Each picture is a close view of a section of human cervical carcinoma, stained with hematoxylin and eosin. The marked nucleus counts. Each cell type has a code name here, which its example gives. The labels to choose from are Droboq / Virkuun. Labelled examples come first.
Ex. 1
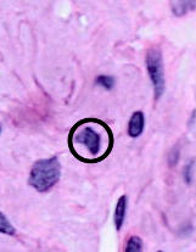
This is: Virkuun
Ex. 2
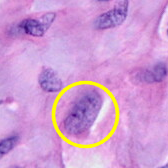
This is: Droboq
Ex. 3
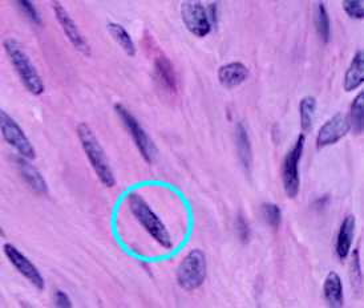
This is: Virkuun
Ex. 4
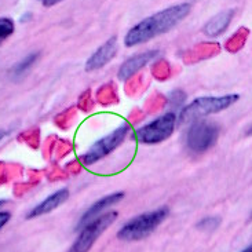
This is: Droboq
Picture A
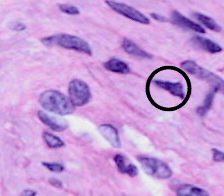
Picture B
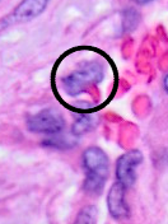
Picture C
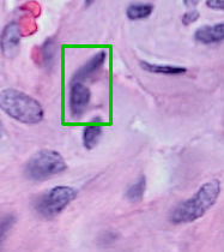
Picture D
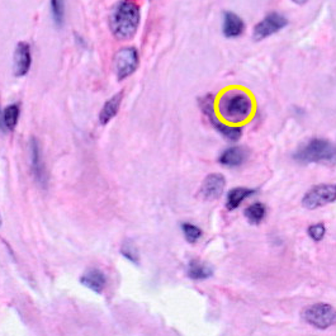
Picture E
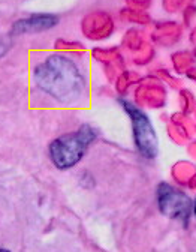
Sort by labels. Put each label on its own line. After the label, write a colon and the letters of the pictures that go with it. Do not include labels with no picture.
Droboq: B, D, E
Virkuun: A, C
